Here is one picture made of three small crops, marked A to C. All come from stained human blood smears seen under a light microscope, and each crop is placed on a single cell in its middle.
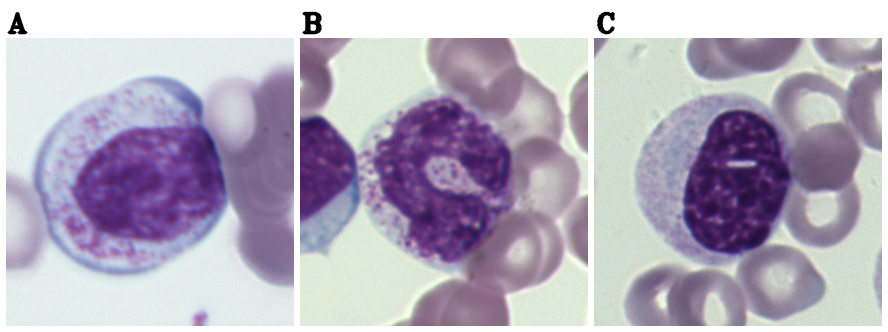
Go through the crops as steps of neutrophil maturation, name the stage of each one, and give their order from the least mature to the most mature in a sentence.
Least to most mature, the crops line up as crop A (a myelocyte), crop C (a metamyelocyte) and crop B (a segmented neutrophil).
